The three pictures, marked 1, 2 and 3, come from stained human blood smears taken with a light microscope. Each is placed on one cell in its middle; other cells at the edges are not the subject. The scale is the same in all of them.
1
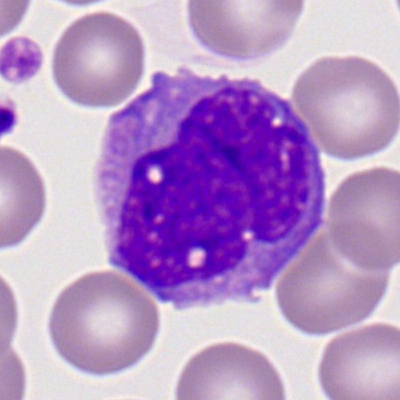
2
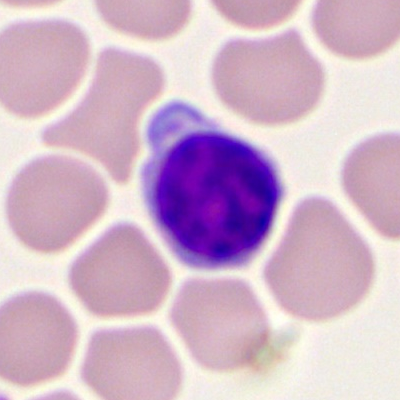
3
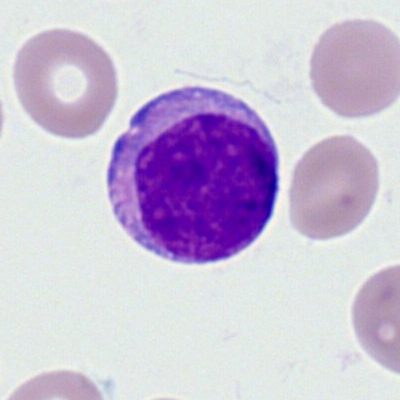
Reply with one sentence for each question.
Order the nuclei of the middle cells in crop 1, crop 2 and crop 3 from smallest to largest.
Smallest first: 2, 3, 1.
